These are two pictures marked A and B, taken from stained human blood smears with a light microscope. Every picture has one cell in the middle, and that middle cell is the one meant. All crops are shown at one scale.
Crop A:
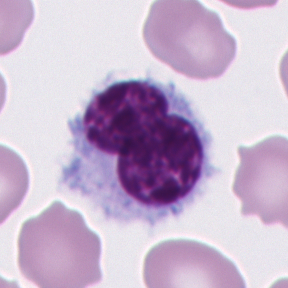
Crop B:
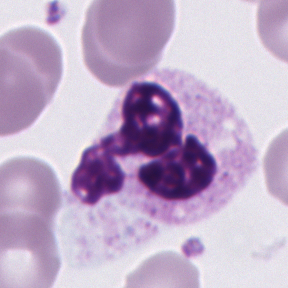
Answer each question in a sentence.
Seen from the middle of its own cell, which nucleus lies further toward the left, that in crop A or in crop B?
Seen within its cell, the nucleus in crop B lies further toward the left.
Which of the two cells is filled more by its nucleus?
In crop A the nucleus takes up the larger part of its cell.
